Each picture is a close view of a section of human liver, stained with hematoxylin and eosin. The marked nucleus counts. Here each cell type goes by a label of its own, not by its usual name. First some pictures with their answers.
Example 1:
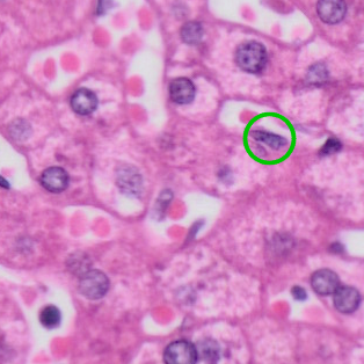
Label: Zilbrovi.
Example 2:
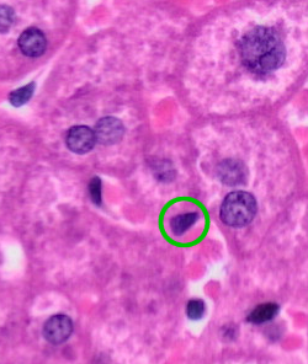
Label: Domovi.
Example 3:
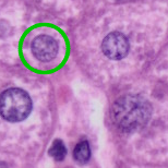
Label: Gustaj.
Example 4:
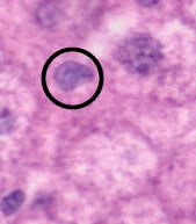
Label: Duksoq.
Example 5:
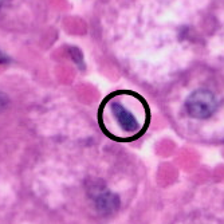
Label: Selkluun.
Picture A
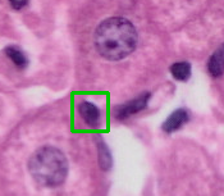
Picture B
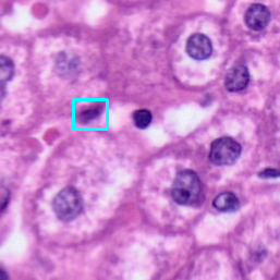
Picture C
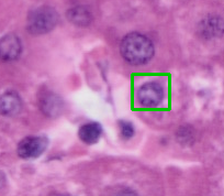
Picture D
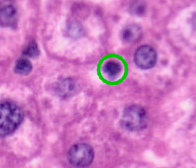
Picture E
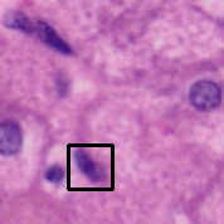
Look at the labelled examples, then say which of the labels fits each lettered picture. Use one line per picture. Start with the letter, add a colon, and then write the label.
A: Domovi.
B: Duksoq.
C: Gustaj.
D: Selkluun.
E: Domovi.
